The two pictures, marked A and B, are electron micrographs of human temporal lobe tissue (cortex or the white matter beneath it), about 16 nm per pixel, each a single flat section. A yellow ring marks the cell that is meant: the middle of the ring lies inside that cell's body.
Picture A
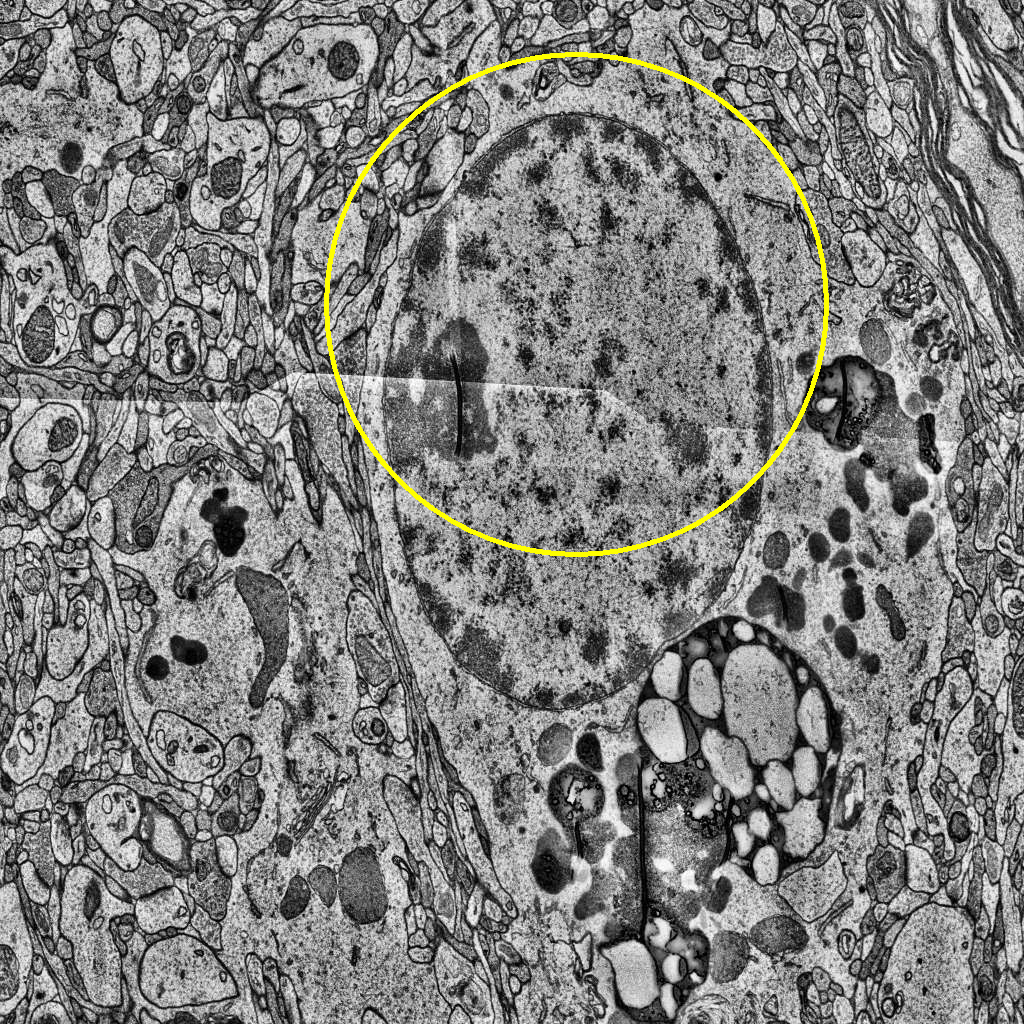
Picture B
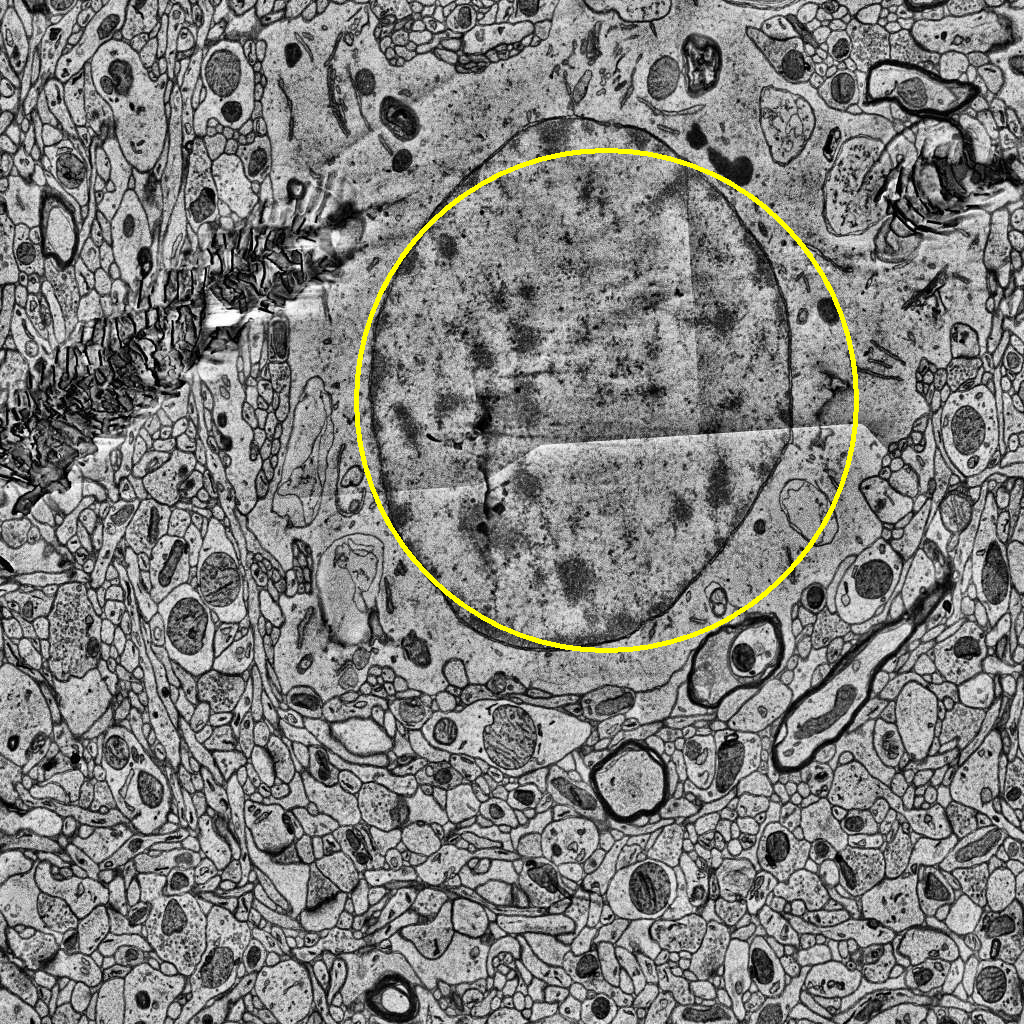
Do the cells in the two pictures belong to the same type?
Yes; the cells in both pictures are astrocytes.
